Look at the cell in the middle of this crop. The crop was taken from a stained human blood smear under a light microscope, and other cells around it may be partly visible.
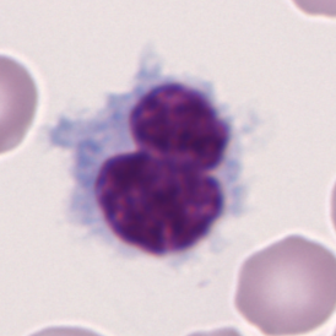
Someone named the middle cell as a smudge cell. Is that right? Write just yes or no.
no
